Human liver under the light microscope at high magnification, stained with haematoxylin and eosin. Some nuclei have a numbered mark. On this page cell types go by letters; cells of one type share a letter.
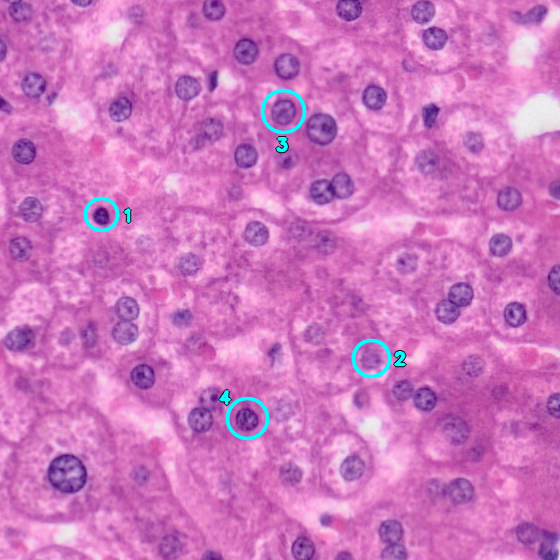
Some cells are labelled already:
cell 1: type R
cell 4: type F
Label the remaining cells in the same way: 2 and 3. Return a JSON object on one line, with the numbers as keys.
{"2": "type F", "3": "type F"}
